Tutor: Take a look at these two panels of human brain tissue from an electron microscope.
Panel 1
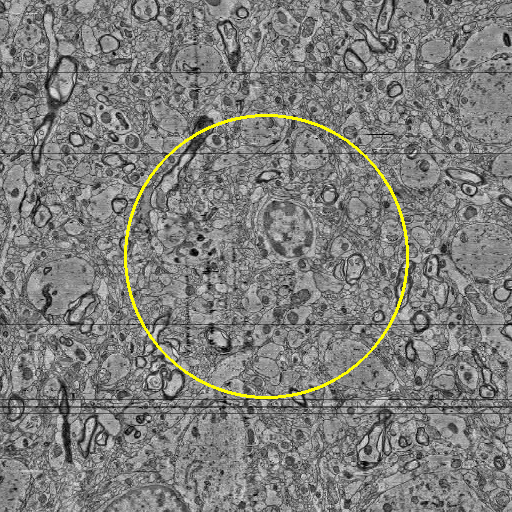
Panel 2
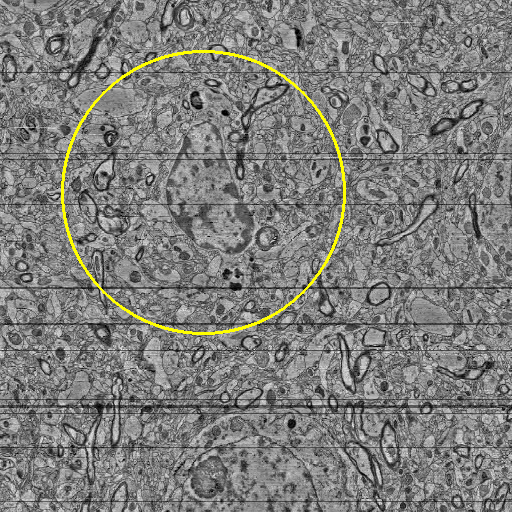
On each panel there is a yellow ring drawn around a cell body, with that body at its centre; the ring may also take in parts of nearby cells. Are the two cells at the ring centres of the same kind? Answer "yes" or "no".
yes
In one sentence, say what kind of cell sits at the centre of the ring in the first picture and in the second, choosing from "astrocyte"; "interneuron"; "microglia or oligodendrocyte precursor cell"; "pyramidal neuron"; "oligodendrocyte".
Both pictures show a microglial cell or oligodendrocyte precursor cell at the centre of the ring.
